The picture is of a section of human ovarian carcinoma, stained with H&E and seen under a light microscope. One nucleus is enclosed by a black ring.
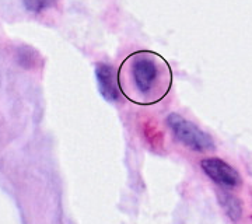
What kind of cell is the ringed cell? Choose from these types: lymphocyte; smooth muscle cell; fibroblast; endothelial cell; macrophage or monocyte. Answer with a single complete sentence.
To be brief about it, the ringed cell is a macrophage or monocyte.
